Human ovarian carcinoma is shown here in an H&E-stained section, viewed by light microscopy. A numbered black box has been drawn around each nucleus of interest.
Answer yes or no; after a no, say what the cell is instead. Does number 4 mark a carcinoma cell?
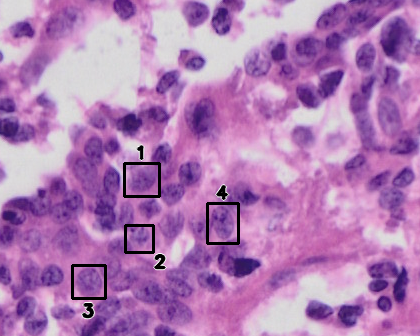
No, it is a macrophage or monocyte.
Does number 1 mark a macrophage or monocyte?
No, it is a carcinoma cell.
